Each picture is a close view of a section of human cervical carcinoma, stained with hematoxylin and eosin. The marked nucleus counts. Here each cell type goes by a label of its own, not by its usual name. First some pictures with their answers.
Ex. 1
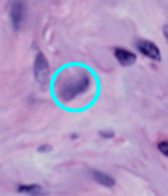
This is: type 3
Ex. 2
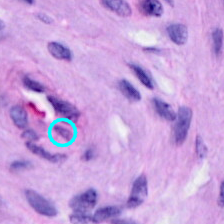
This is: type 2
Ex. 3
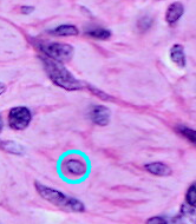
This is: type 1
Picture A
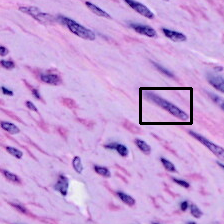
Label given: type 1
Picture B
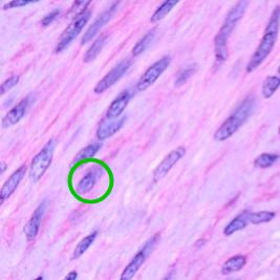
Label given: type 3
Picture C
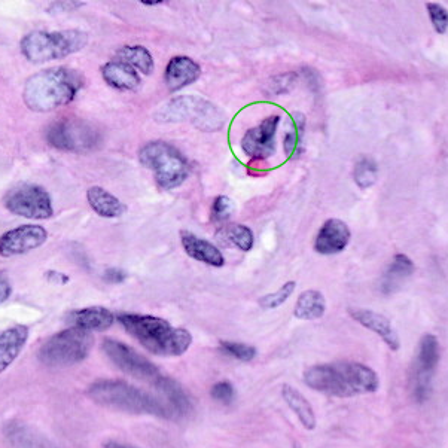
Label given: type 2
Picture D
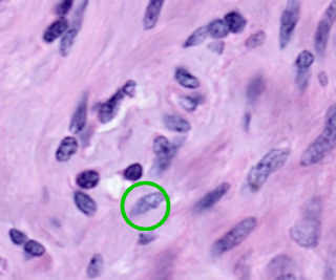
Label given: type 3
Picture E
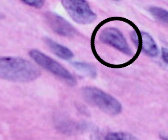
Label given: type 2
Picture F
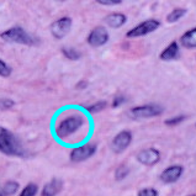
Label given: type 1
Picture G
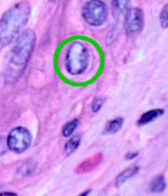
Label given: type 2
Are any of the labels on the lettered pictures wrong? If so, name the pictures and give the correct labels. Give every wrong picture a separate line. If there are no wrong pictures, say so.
B: type 1, not type 3
G: type 1, not type 2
